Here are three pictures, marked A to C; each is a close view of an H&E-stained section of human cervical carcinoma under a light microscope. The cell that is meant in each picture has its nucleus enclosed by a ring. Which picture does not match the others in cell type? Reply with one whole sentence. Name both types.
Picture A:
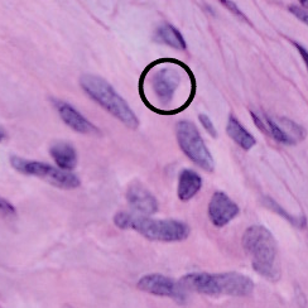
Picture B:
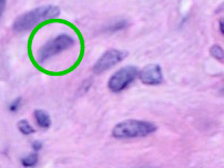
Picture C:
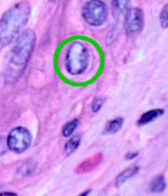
Unlike the rest, which show fibroblasts, picture C shows a smooth muscle cell.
